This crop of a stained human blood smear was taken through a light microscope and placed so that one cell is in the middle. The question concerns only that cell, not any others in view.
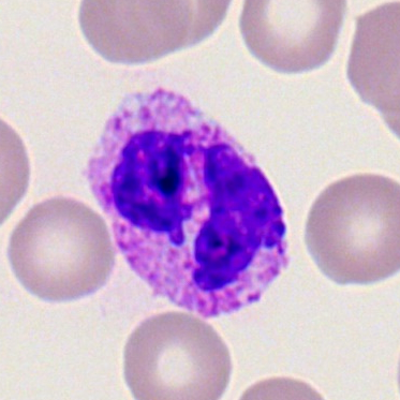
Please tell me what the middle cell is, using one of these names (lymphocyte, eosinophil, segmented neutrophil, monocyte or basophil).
basophil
